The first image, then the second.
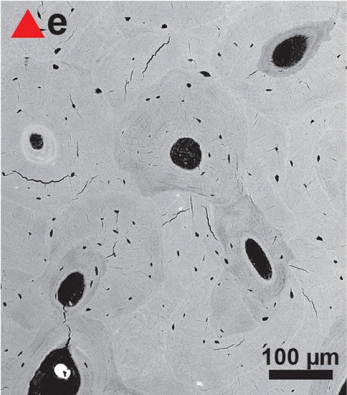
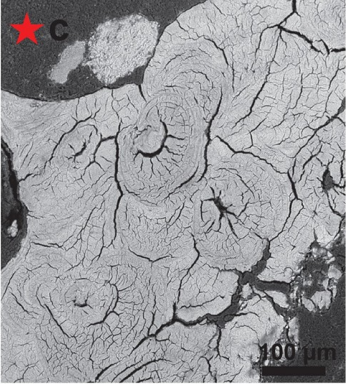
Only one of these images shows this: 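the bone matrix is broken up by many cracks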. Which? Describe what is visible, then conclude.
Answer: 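The second image. First image: the grey matrix is mostly intact with only a few short fine cracks. Second image: numerous long, branching dark cracks divide the matrix into fragments.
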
